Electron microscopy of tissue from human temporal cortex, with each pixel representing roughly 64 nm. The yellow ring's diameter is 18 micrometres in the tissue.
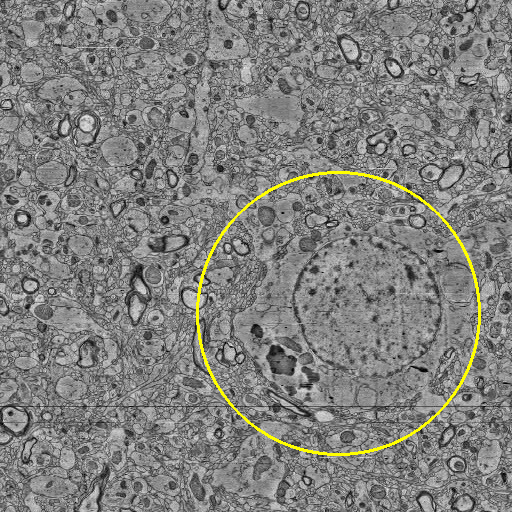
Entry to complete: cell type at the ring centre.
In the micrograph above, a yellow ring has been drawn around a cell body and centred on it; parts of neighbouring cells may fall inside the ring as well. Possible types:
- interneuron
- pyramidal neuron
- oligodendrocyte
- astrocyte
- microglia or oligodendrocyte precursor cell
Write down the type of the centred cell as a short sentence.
The ring is centred on an astrocyte.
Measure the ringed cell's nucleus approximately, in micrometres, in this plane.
In this plane the nucleus measures roughly 9 micrometres across.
